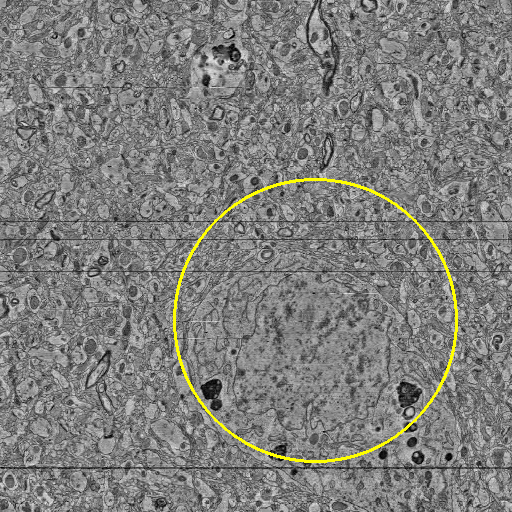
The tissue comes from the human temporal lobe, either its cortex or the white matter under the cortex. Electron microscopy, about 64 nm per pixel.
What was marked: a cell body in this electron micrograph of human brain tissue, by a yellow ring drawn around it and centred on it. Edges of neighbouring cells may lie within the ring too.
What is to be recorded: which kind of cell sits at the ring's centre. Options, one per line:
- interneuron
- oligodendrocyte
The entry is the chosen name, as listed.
interneuron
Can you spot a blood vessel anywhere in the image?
No, none is visible.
